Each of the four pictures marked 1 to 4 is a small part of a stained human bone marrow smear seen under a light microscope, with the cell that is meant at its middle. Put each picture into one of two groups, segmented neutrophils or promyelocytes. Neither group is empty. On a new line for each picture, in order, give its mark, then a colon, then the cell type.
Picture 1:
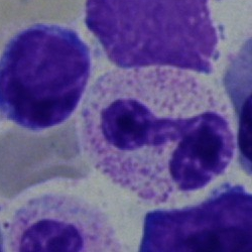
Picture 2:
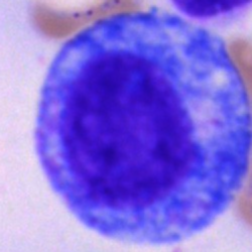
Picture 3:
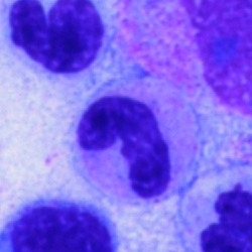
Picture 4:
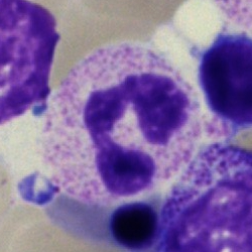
1: segmented neutrophil
2: promyelocyte
3: segmented neutrophil
4: segmented neutrophil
